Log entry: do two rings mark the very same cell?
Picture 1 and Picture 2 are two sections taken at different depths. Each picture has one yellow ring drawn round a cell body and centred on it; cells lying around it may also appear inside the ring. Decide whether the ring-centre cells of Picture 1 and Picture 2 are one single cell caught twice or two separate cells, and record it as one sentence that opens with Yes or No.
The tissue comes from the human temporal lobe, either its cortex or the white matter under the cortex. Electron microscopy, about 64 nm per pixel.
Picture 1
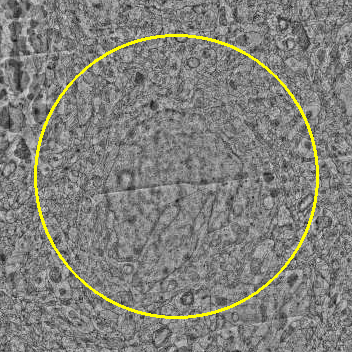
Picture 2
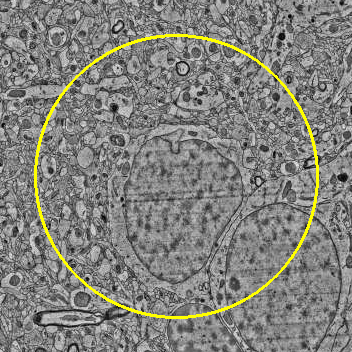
No, the two yellow rings each circle a different cell.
